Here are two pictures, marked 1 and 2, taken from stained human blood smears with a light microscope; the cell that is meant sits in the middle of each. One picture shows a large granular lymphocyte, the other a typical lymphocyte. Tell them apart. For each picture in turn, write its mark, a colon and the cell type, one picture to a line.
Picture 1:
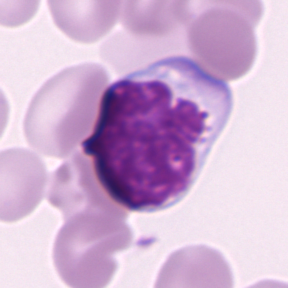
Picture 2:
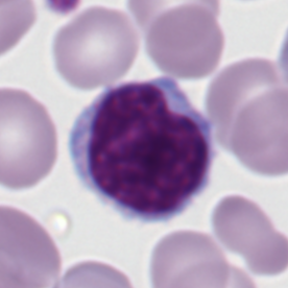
1: large granular lymphocyte
2: typical lymphocyte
